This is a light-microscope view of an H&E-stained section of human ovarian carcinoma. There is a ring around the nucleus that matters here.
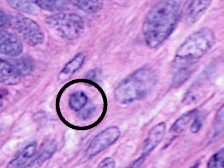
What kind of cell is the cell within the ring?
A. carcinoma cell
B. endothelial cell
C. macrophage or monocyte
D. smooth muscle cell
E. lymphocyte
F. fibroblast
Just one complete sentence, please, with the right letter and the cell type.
It is as option C has it, the cell within the ring being a macrophage or monocyte.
